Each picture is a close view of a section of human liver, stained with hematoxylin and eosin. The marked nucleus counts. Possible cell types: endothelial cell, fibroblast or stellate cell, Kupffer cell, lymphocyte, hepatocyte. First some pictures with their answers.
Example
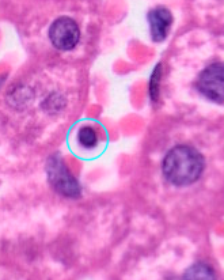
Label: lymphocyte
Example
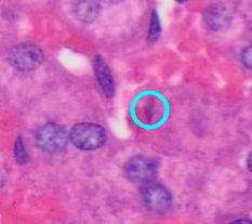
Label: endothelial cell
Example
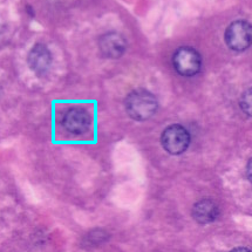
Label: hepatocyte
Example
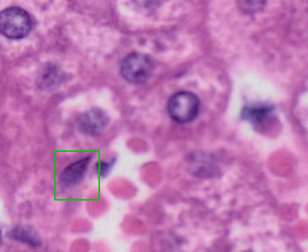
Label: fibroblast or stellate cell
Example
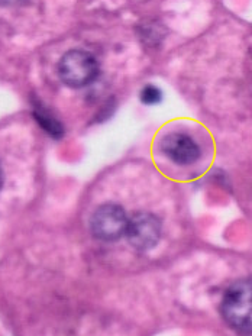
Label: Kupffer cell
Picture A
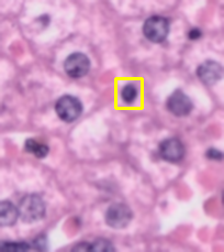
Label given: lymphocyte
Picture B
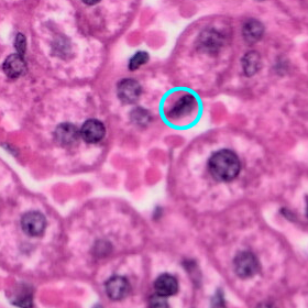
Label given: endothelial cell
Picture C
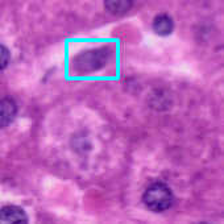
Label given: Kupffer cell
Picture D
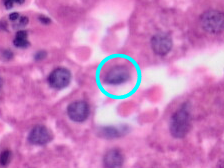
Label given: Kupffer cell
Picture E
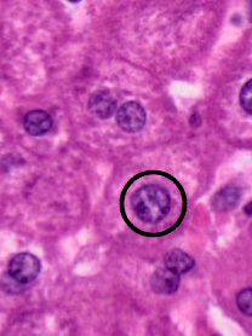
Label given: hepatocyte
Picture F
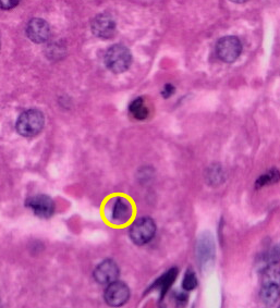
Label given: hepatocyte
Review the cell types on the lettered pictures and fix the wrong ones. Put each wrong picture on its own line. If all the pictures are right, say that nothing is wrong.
B should be fibroblast or stellate cell, not endothelial cell
F should be fibroblast or stellate cell, not hepatocyte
